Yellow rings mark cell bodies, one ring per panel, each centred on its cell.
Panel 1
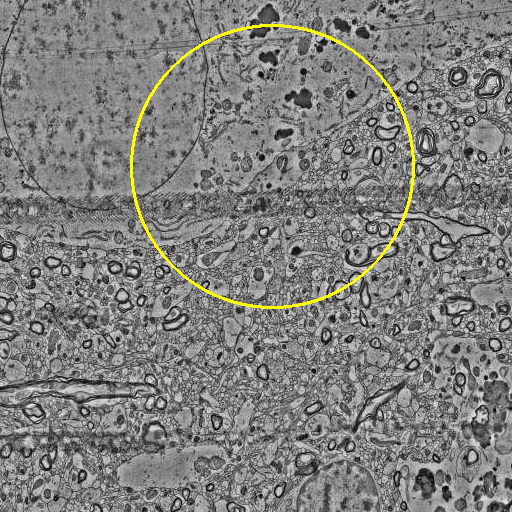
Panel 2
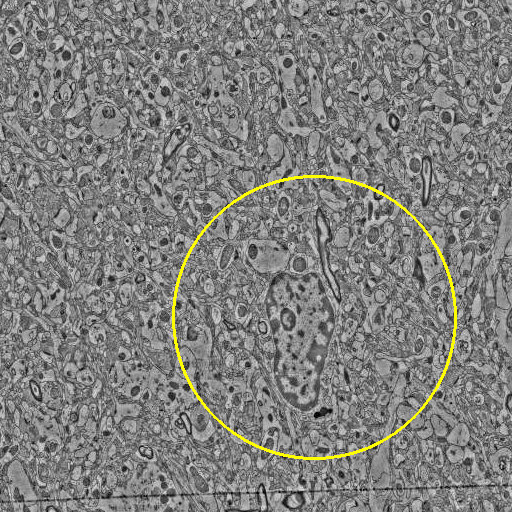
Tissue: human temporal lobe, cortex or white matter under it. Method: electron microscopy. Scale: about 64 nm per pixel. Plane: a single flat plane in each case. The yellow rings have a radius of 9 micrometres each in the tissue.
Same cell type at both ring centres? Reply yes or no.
no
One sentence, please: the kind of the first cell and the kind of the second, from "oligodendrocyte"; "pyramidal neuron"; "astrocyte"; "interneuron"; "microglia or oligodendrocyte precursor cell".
The ring in the first picture surrounds an oligodendrocyte, and the ring in the second surrounds a microglial cell or oligodendrocyte precursor cell.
